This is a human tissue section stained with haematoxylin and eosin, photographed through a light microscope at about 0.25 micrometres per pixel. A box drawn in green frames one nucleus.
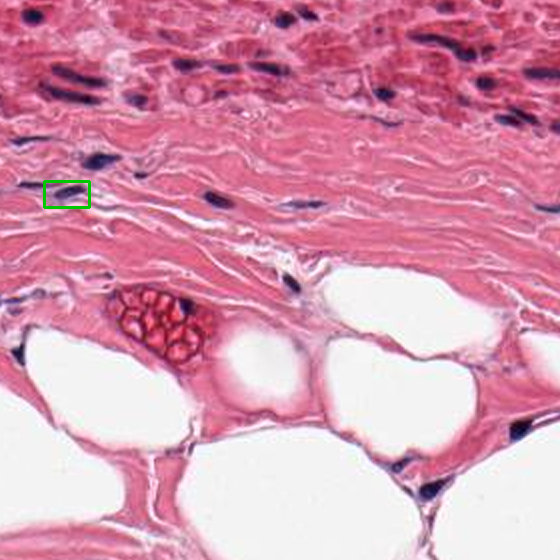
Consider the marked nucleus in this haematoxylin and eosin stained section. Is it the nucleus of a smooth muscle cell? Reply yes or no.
no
